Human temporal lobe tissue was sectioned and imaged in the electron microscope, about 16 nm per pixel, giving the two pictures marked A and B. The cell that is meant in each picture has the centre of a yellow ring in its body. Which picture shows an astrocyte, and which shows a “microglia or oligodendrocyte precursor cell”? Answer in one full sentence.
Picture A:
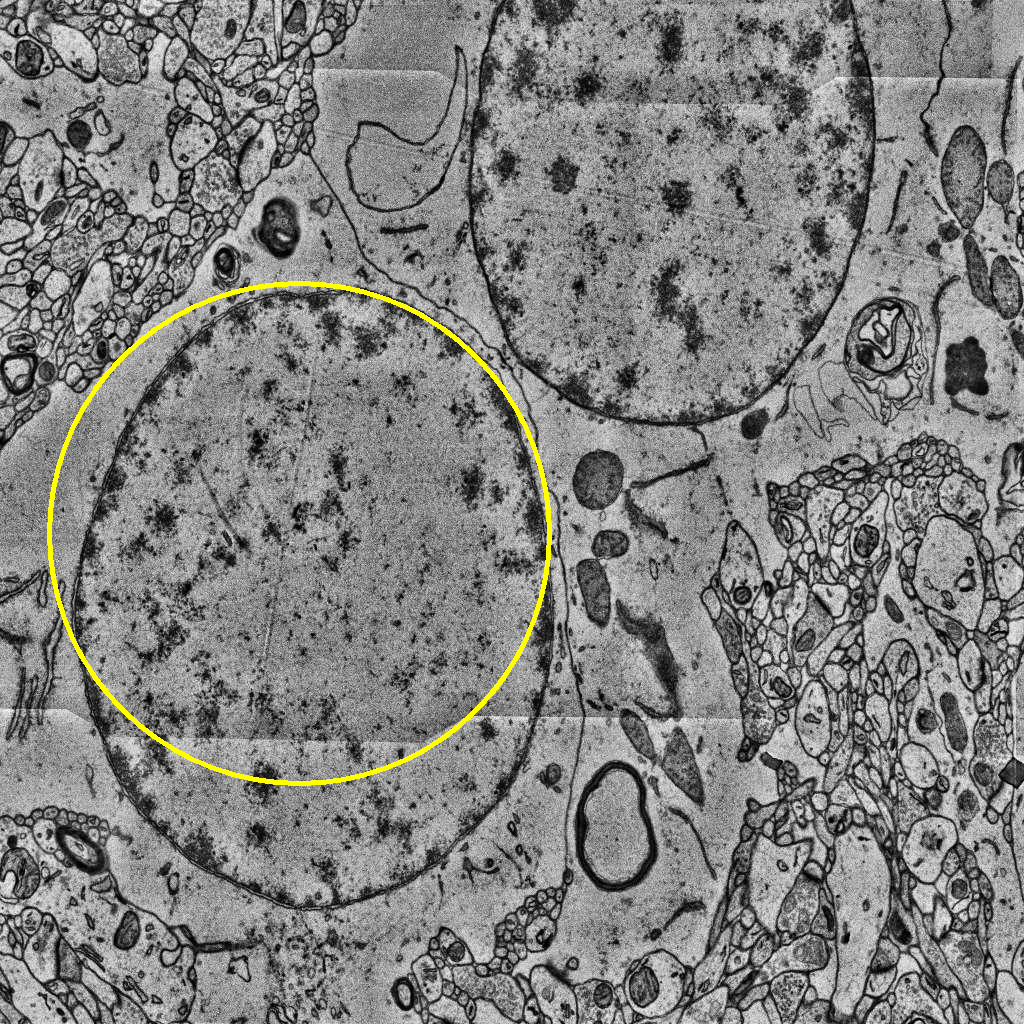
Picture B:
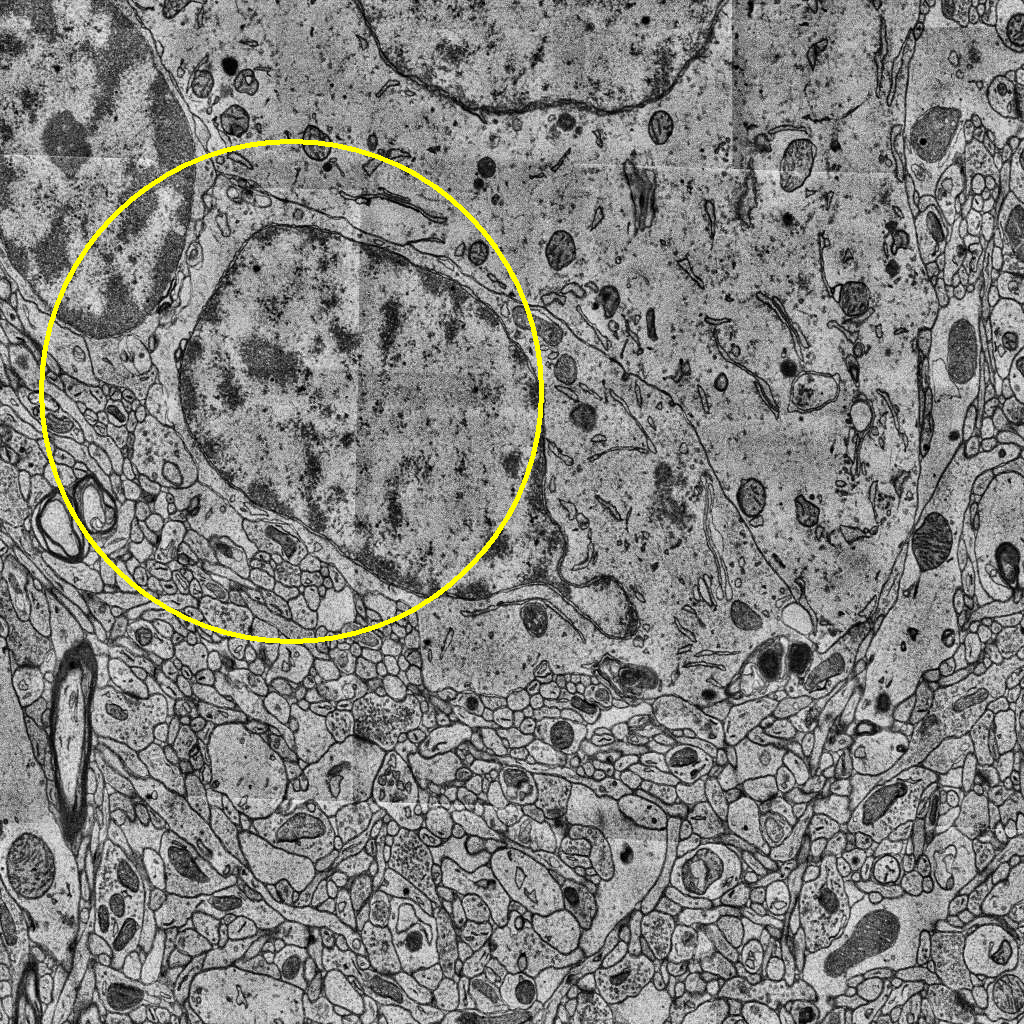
The cell in picture A is an astrocyte, and the one in picture B is a “microglia or oligodendrocyte precursor cell”.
